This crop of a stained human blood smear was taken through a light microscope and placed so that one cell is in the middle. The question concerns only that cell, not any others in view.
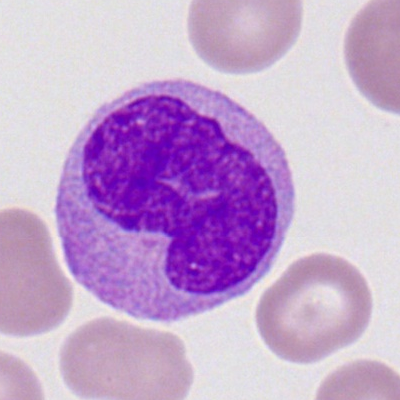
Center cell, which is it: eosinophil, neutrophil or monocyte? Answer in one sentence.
Where the crop is centred, there is a monocyte.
